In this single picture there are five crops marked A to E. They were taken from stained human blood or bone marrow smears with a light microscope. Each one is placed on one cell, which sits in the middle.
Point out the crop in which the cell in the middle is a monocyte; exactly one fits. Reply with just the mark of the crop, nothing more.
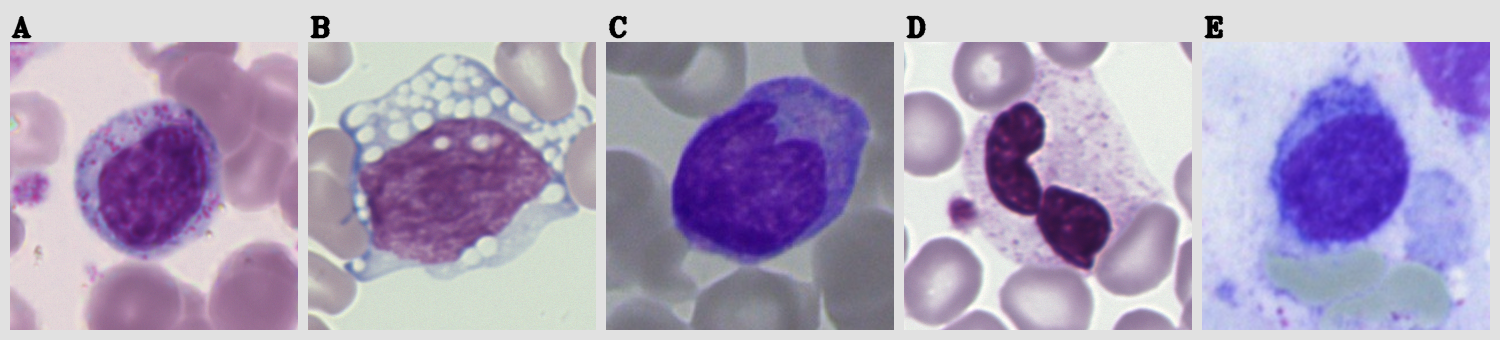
C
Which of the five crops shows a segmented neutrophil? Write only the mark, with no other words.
D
